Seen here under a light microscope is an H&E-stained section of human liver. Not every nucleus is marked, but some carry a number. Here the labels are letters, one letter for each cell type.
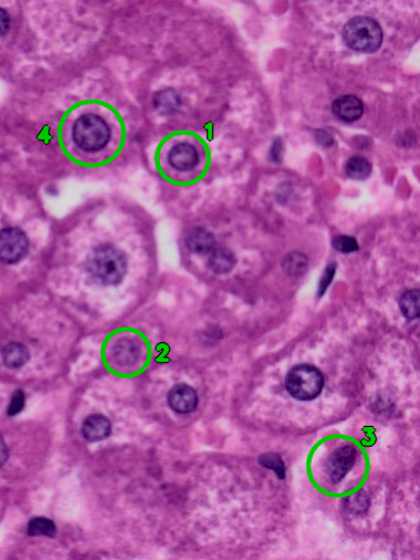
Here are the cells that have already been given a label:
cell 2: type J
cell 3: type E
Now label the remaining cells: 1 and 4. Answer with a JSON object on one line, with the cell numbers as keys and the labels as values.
{"1": "type J", "4": "type J"}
